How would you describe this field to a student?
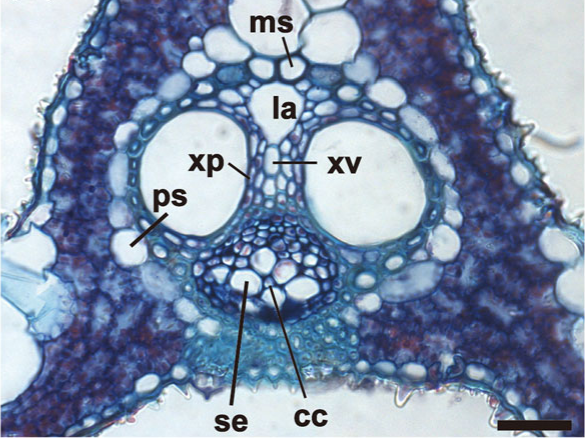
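This is a cross-section through a vascular bundle of a leaf, with xylem above and phloem below. Two large, round, empty xylem vessel elements sit on either side of a central protoxylem lacuna. The bundle is ringed by a sheath of small, thick-walled, blue-staining cells, and outside that by a ring of larger, pale parenchyma sheath cells. Below the xylem lies a compact patch of phloem in which wide sieve elements are interspersed with smaller, densely staining companion cells. The whole bundle is flanked by mesophyll tissue that stains deep purple-blue.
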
